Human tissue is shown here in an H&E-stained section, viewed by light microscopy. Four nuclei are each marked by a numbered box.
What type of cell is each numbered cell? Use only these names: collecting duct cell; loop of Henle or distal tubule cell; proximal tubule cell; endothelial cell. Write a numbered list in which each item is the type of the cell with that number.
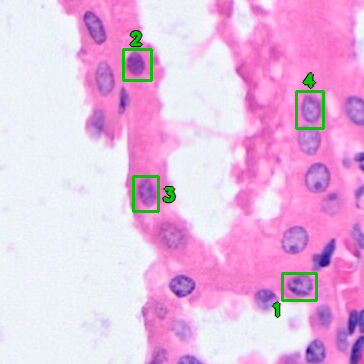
1. loop of Henle or distal tubule cell
2. proximal tubule cell
3. proximal tubule cell
4. proximal tubule cell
